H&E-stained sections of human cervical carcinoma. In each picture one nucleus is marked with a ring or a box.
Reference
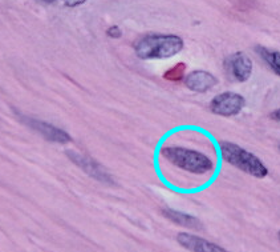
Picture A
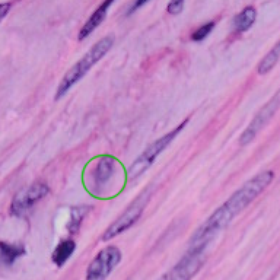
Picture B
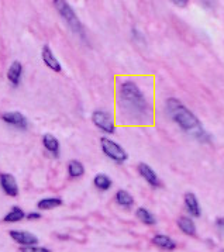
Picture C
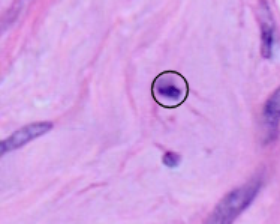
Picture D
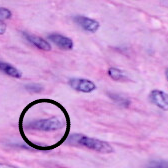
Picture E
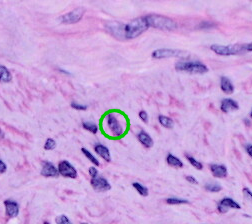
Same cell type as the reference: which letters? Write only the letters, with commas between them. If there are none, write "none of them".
C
